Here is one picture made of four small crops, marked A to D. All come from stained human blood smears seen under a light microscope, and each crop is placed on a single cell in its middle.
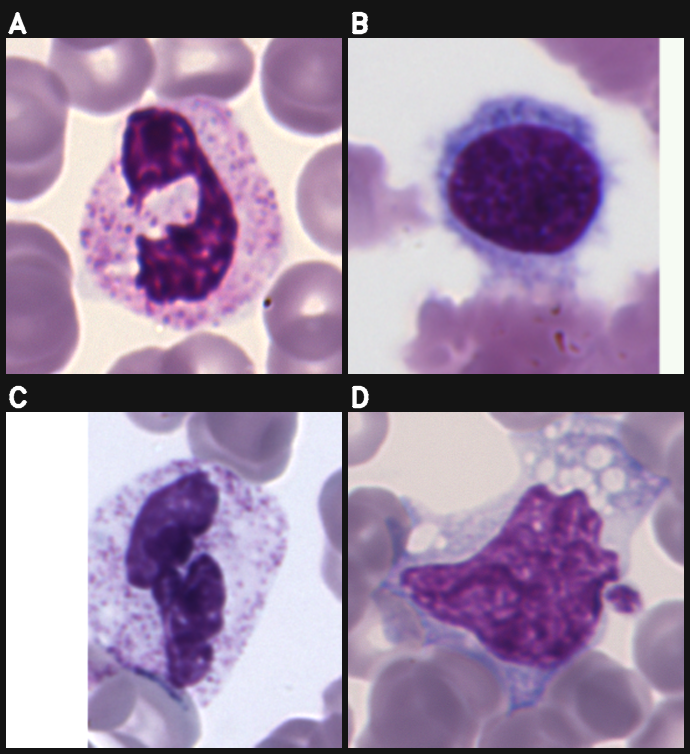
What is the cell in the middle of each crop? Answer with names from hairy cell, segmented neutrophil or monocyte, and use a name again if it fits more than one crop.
A: segmented neutrophil
B: hairy cell
C: segmented neutrophil
D: monocyte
